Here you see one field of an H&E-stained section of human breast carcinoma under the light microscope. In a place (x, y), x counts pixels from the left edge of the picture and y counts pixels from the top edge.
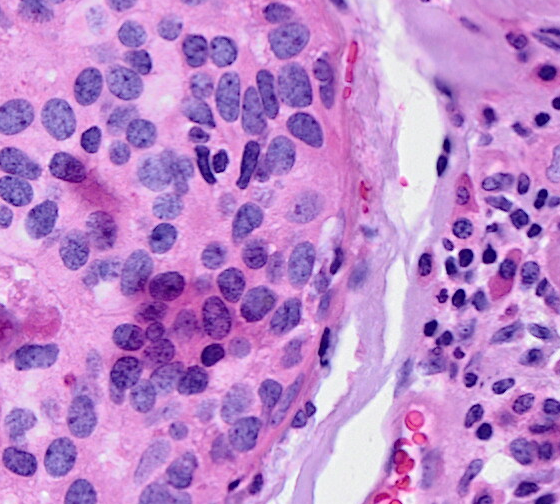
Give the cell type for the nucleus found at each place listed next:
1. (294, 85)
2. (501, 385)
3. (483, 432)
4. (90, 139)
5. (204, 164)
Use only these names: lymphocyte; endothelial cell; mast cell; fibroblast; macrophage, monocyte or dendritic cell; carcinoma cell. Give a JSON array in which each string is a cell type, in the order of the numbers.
["carcinoma cell", "lymphocyte", "lymphocyte", "carcinoma cell", "carcinoma cell"]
